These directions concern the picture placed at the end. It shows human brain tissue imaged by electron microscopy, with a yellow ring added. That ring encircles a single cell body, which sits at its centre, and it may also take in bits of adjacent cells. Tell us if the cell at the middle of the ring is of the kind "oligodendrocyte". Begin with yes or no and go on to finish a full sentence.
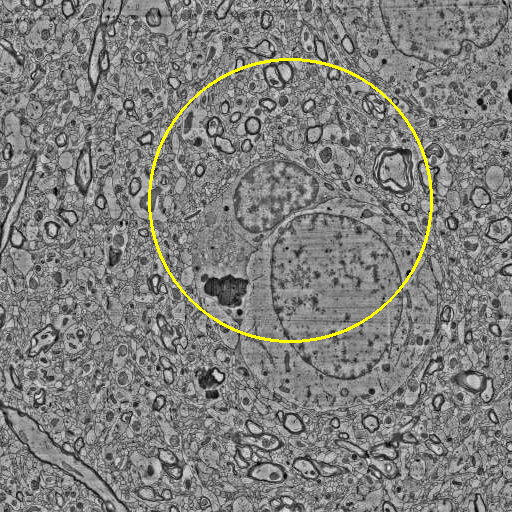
Yes, the cell sitting at the centre of the yellow ring in the picture is of that kind.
